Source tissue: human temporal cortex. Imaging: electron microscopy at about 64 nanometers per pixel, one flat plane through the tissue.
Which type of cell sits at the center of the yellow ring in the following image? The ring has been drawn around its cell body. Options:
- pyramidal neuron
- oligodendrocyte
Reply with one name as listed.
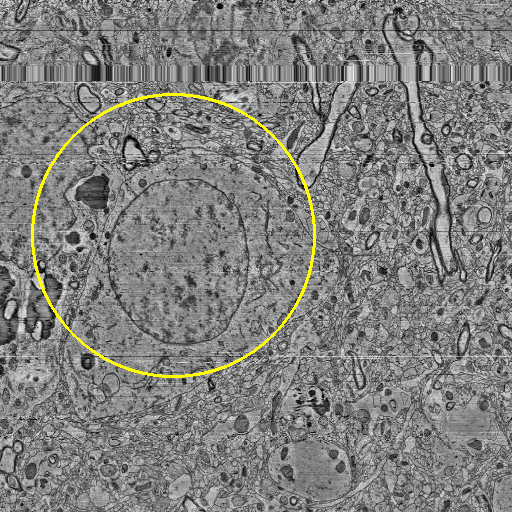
pyramidal neuron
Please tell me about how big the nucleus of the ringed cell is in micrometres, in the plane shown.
Roughly 11 micrometres by 9 micrometres, in this plane.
